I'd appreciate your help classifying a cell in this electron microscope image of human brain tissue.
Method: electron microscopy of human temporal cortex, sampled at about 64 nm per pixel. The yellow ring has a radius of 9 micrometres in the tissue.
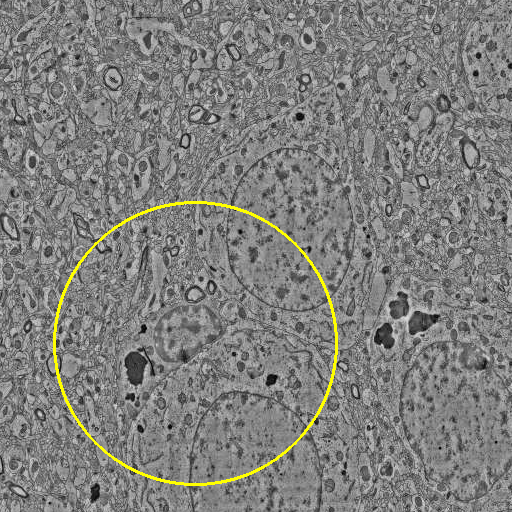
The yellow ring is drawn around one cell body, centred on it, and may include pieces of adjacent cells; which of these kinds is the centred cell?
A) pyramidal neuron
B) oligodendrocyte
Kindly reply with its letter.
B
